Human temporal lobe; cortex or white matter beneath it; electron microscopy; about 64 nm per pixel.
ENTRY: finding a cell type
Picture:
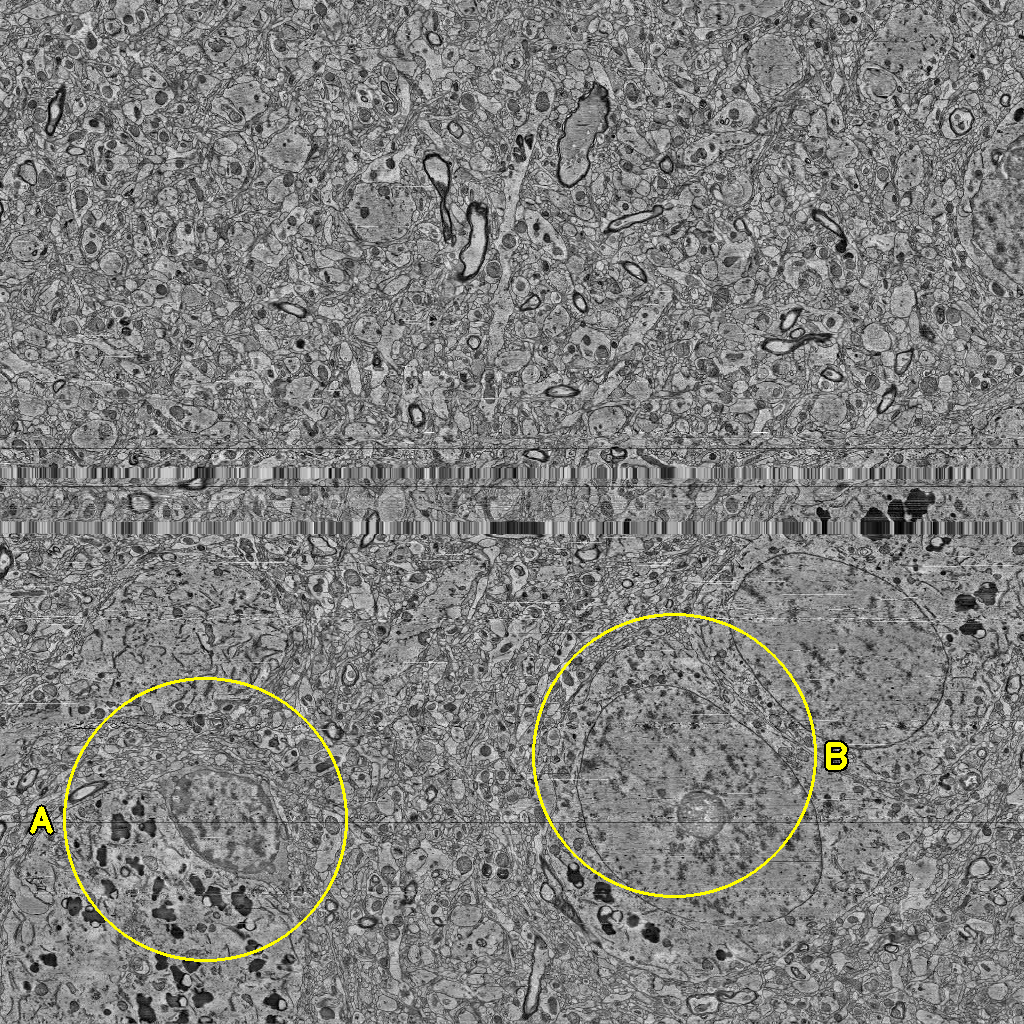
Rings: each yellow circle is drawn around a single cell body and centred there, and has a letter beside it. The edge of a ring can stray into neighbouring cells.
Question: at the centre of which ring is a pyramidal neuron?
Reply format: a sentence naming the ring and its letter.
The answer is ring B, the one centred on the cell asked for.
